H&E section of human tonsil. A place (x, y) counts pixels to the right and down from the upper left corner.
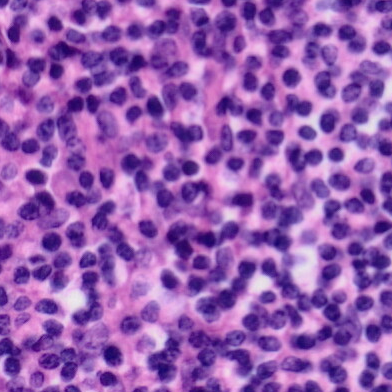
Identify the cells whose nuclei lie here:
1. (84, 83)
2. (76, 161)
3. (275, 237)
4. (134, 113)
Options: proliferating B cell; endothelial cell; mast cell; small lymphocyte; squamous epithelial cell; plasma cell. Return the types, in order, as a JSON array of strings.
["small lymphocyte", "plasma cell", "small lymphocyte", "small lymphocyte"]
